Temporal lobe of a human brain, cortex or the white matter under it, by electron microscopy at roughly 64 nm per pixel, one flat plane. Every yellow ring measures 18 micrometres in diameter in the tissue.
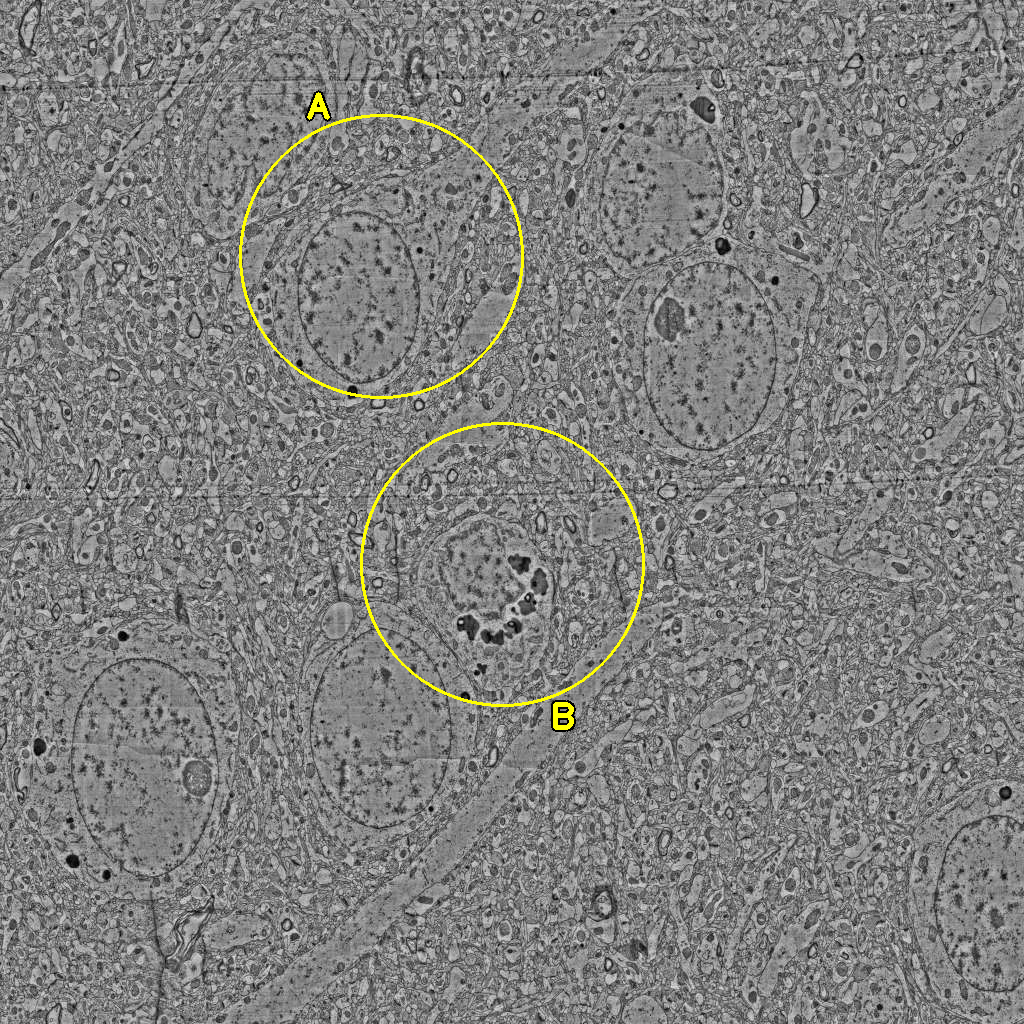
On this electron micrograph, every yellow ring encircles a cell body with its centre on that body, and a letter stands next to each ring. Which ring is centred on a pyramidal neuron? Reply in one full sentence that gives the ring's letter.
Ring A is the ring that has the cell asked for in its centre.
